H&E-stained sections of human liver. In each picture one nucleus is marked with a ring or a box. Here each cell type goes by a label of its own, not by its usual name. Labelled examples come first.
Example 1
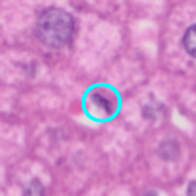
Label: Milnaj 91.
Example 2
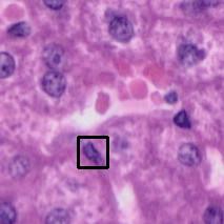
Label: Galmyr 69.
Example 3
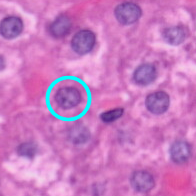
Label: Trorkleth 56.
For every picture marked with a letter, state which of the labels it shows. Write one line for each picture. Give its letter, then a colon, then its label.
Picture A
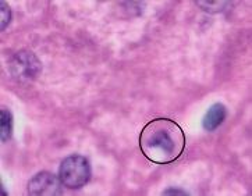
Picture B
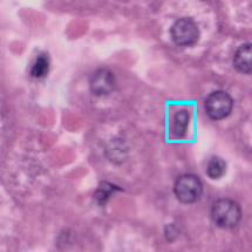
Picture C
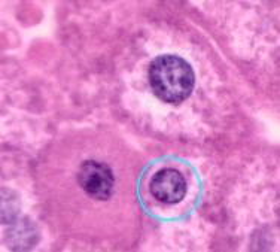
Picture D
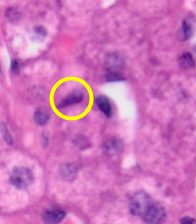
A: Milnaj 91.
B: Galmyr 69.
C: Trorkleth 56.
D: Galmyr 69.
